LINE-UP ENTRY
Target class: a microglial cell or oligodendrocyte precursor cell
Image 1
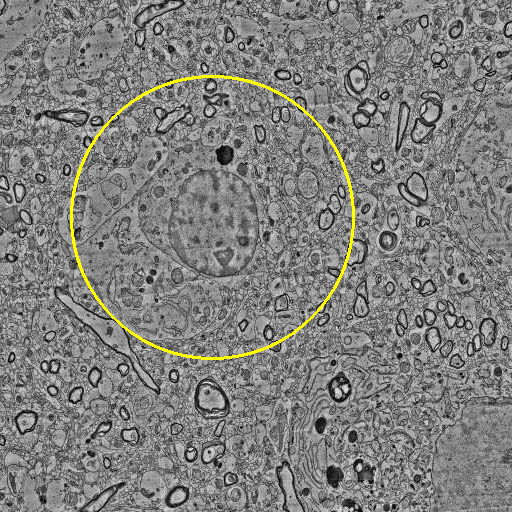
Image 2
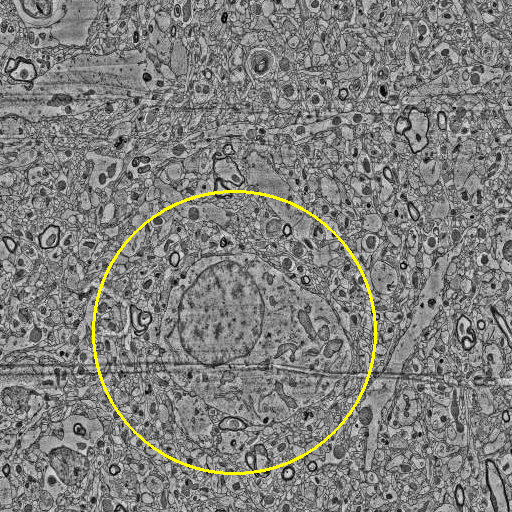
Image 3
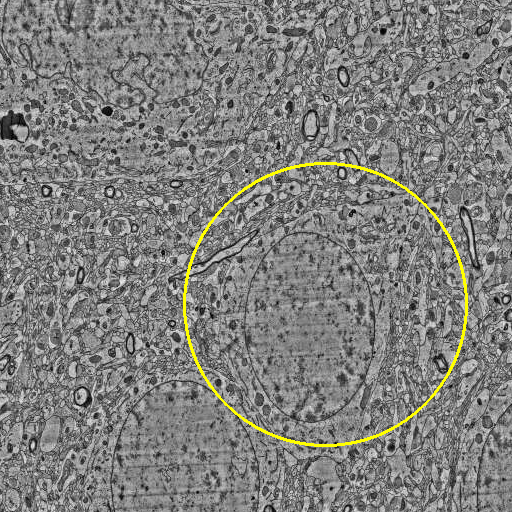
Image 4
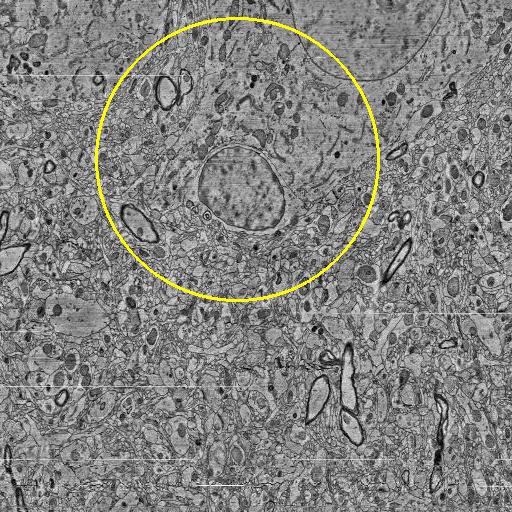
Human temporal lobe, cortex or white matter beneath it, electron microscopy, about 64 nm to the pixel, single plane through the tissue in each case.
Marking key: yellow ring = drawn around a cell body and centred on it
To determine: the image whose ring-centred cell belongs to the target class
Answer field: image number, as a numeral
4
